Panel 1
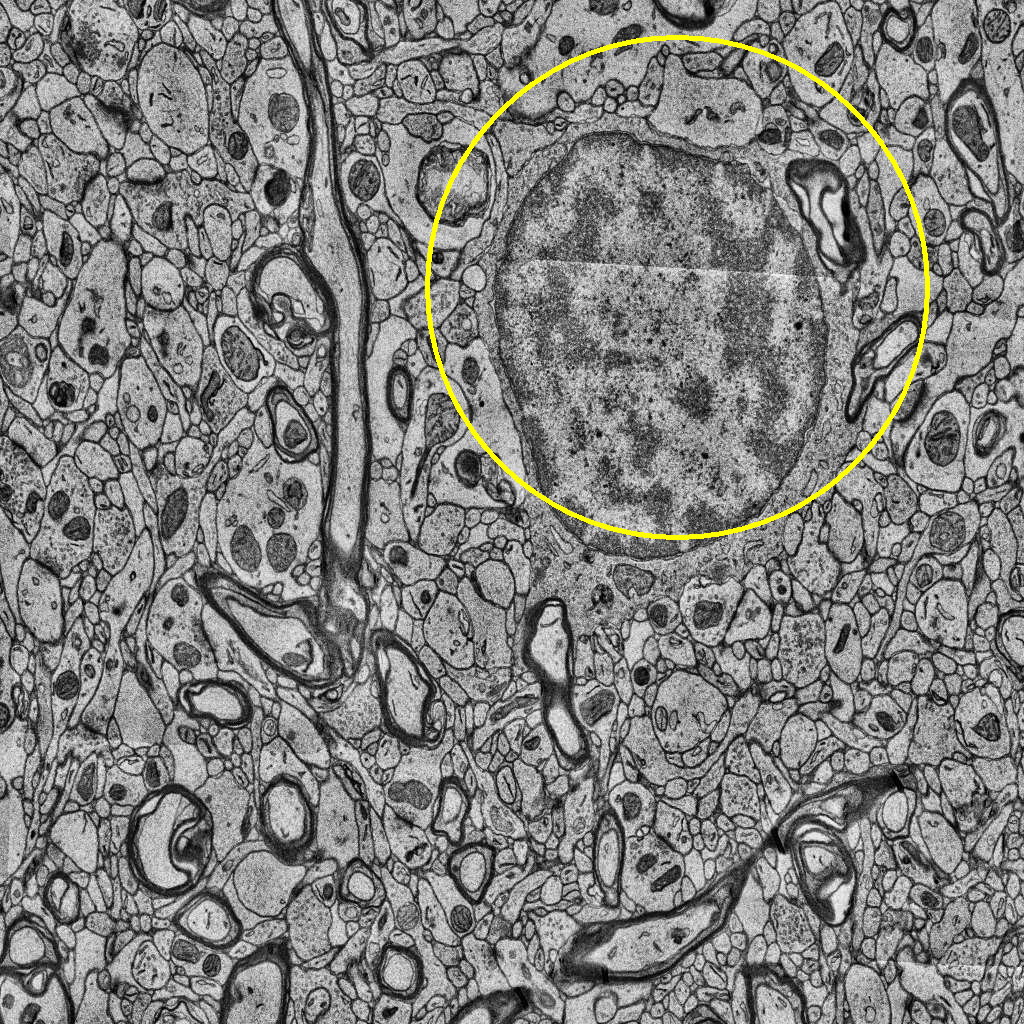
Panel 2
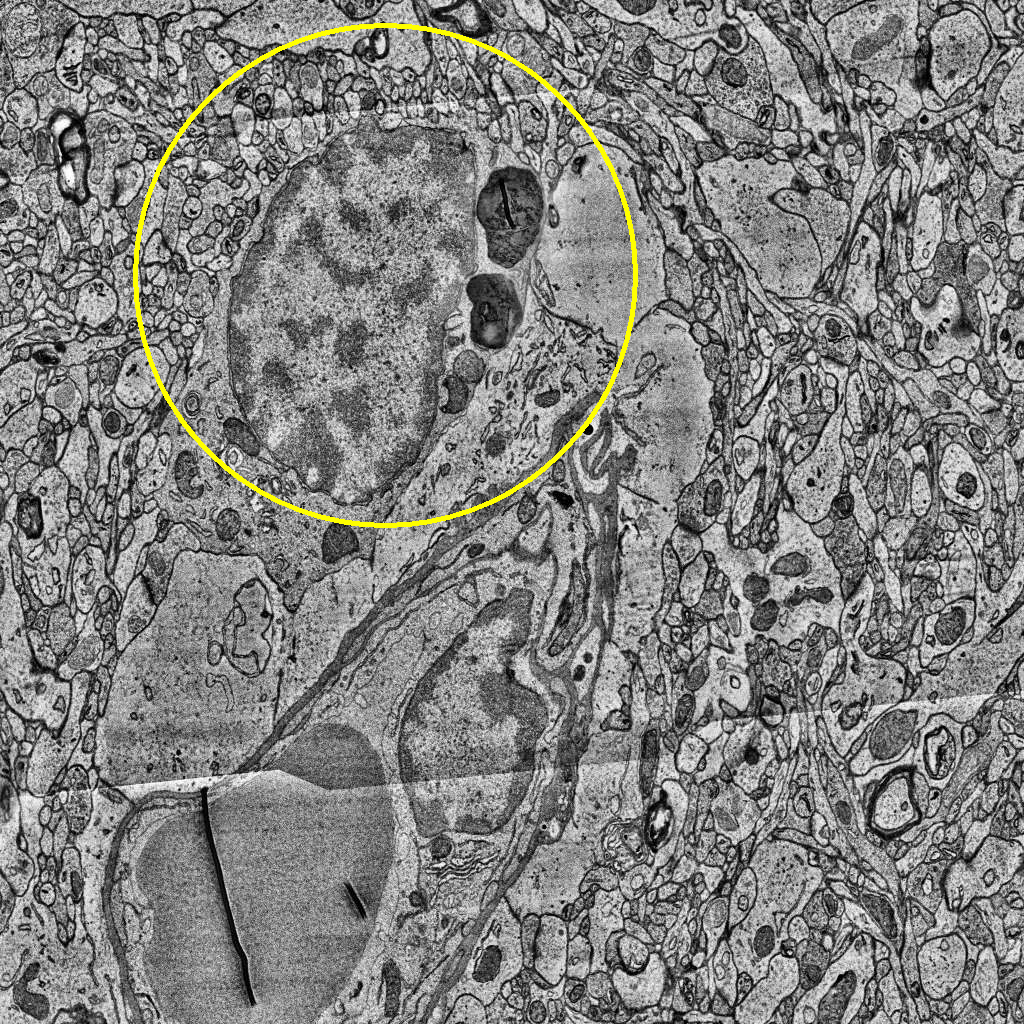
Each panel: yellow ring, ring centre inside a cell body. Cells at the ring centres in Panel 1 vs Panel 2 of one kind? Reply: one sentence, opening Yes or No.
Yes, Panel 1 and Panel 2 have cells of one kind at the ring centres.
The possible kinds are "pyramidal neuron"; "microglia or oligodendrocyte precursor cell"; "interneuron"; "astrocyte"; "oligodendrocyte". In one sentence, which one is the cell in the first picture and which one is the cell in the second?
Each cell, in the first picture and the second, is an oligodendrocyte.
